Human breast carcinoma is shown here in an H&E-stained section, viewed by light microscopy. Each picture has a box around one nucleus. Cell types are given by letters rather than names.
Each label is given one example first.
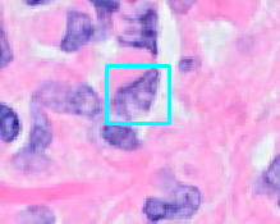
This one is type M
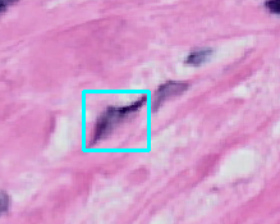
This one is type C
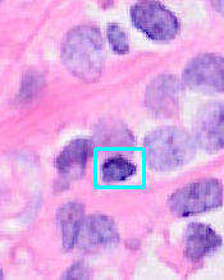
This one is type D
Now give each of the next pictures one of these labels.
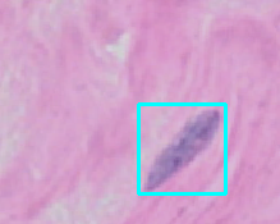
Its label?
type C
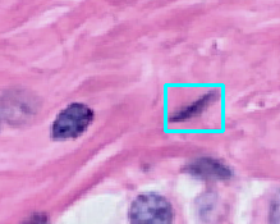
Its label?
type C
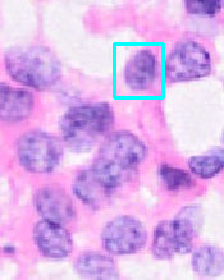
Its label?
type M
